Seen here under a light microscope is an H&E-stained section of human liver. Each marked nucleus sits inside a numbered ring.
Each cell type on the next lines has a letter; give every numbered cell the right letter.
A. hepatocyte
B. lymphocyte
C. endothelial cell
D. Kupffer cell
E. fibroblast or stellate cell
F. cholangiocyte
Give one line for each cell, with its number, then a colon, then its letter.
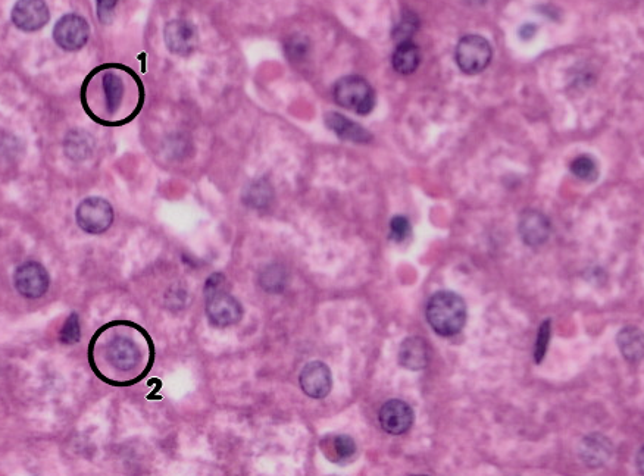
1: E
2: A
